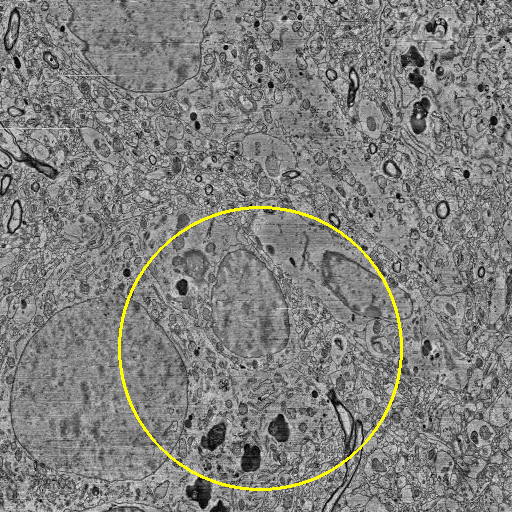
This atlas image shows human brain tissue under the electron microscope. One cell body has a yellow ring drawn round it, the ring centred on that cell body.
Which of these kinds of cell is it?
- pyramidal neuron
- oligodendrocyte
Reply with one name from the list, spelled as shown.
oligodendrocyte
